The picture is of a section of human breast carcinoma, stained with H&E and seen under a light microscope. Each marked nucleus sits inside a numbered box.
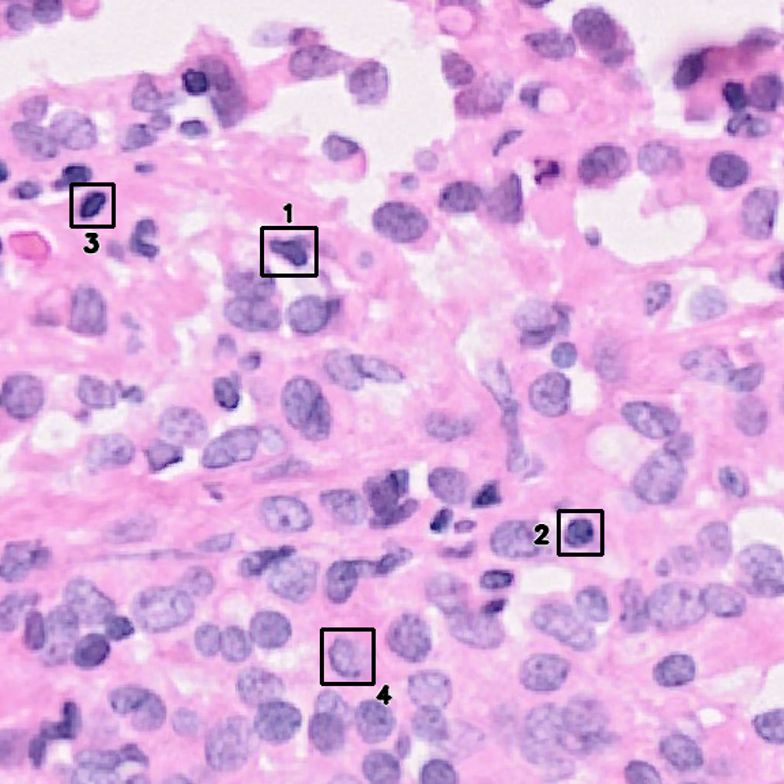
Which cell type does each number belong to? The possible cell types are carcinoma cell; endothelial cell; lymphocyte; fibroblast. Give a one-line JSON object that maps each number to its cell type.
{"1": "lymphocyte", "2": "lymphocyte", "3": "lymphocyte", "4": "carcinoma cell"}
